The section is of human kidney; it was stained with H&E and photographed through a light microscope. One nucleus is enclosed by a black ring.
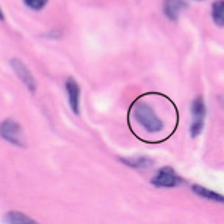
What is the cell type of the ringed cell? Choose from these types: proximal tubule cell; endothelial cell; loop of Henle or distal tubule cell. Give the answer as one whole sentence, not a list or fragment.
Labelled by cell type, the ringed cell is an endothelial cell.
